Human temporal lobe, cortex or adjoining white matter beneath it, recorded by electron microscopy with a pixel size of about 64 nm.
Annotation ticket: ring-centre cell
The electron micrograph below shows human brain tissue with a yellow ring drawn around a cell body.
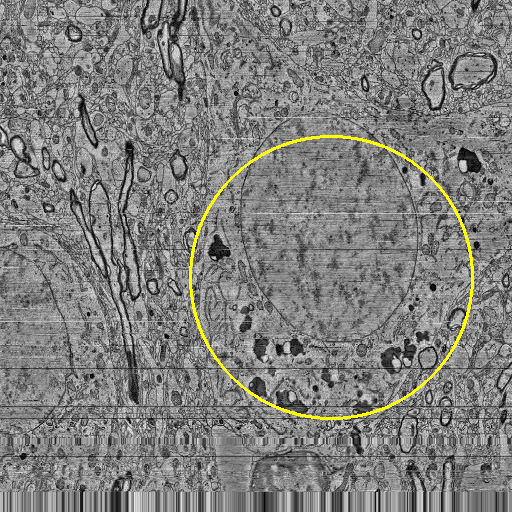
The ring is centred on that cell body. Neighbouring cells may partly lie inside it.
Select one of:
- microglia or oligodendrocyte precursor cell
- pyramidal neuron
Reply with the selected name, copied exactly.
pyramidal neuron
